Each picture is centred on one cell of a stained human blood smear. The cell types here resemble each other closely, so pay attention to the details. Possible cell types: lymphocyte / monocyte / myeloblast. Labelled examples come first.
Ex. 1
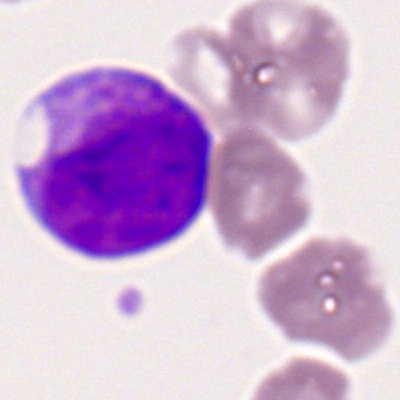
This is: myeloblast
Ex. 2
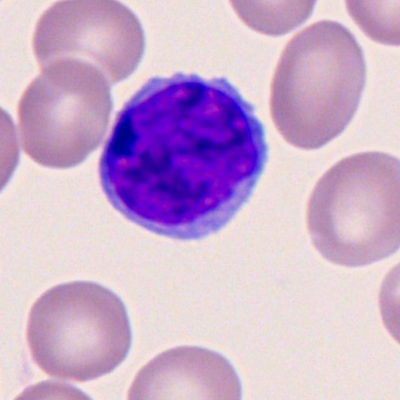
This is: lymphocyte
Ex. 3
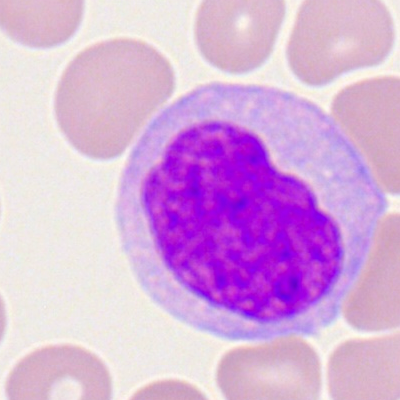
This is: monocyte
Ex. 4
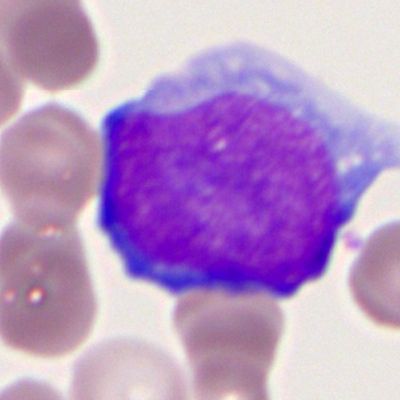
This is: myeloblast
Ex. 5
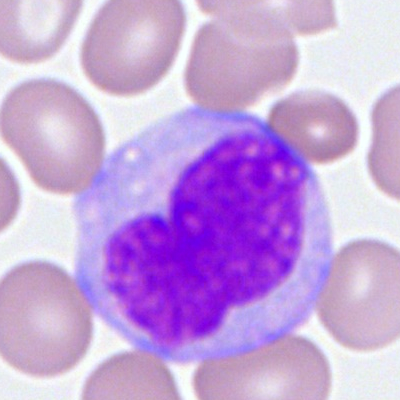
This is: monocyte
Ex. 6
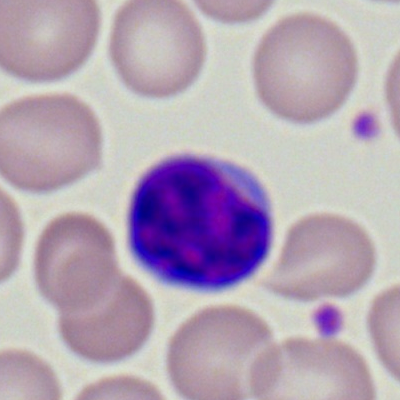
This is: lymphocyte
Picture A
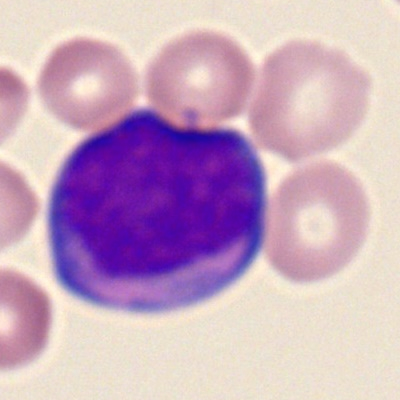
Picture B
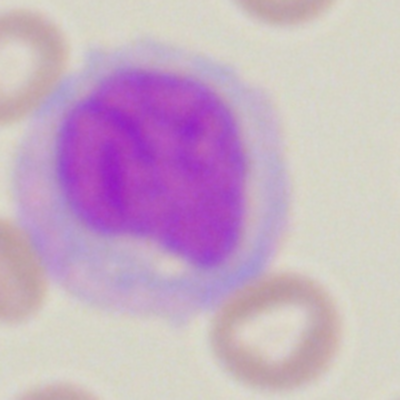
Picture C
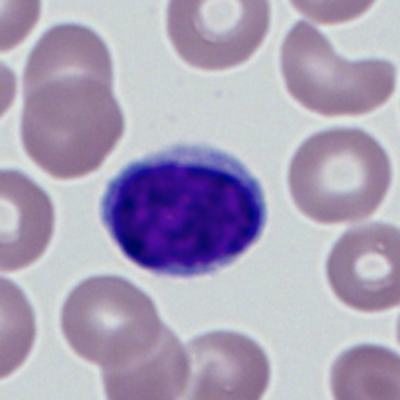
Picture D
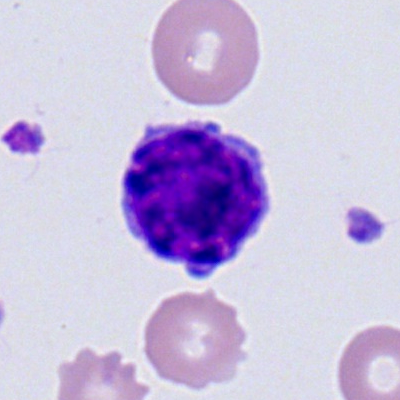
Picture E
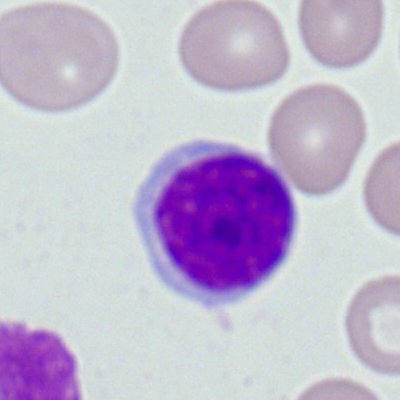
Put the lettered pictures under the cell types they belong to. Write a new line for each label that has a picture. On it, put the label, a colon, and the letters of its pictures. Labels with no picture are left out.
lymphocyte: C, D, E
monocyte: B
myeloblast: A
